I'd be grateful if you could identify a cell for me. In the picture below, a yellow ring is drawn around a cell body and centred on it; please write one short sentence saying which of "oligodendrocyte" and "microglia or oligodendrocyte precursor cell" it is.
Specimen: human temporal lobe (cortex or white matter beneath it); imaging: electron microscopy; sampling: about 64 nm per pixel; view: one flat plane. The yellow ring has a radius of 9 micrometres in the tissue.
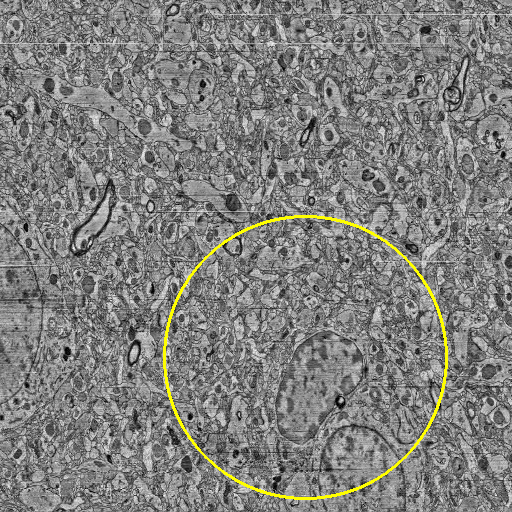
The cell under the ring's centre is a microglial cell or oligodendrocyte precursor cell.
